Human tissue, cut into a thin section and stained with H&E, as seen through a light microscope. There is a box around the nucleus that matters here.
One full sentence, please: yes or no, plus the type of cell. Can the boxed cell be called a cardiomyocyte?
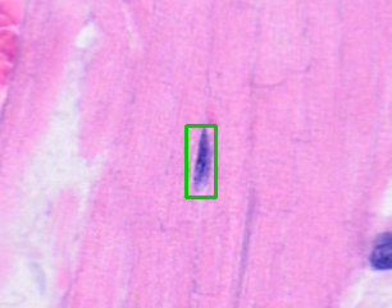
No, the boxed cell corresponds to an endothelial cell rather than to a cardiomyocyte.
